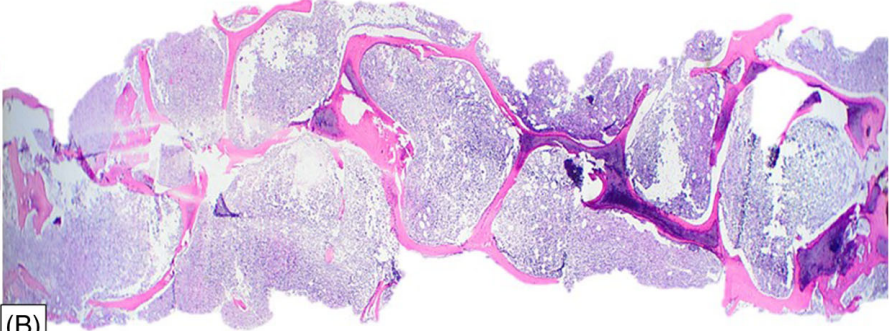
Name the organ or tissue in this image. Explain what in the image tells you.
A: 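Long core with pink bony trabeculae. Spaces between trabeculae filled with densely cellular tissue.
Hence: Bone marrow biopsy.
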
